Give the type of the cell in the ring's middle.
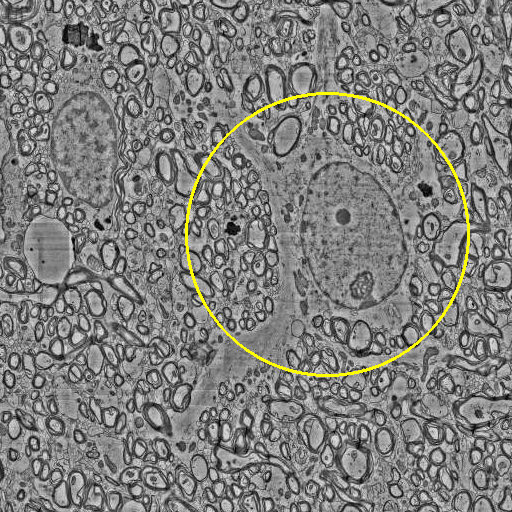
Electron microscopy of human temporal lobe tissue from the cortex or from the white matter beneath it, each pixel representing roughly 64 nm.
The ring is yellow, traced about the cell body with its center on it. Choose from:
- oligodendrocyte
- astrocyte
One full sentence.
Here, an astrocyte is the cell lying at the center of the yellow ring.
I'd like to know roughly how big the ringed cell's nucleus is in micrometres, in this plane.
About 9 by 7 micrometers for the nucleus, in this plane.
